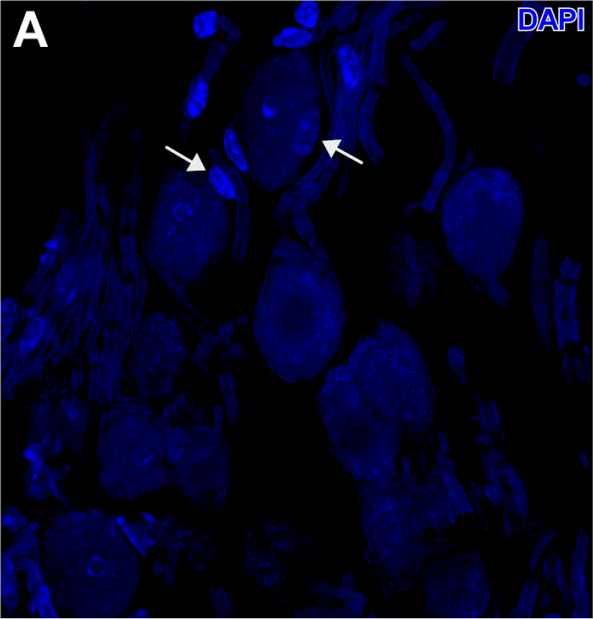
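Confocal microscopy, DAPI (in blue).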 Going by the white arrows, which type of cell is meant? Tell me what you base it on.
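Small, flattened, brightly stained nuclei lie pressed against the edge of a large round cell body. These nuclei are far smaller and denser than the pale large cell bodies they hug. That points to this answer: satellite cells.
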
